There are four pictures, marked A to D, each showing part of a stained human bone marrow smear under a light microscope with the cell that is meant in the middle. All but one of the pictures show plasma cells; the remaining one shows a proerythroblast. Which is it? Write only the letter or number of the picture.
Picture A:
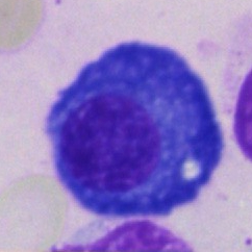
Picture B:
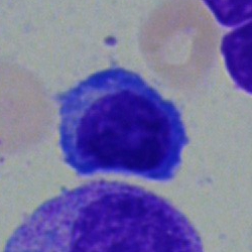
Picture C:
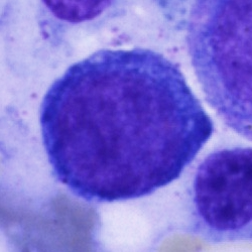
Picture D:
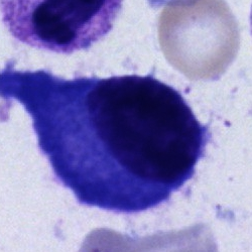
C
